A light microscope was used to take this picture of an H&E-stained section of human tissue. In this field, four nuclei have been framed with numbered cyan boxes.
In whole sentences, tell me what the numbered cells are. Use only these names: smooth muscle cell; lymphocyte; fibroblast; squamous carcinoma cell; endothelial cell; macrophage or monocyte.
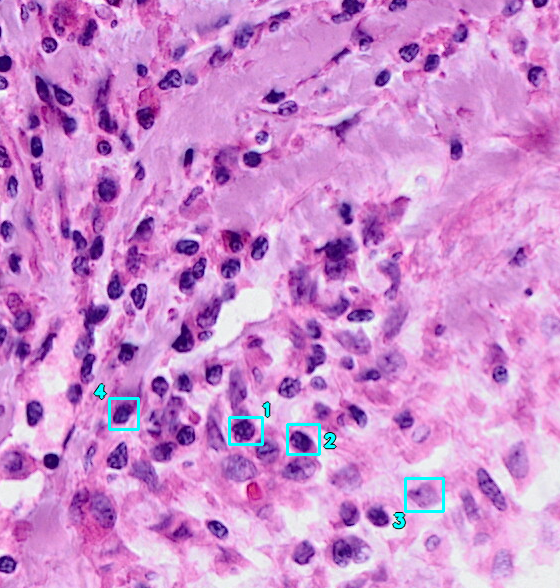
Cells 1, 2 and 4 are lymphocytes. Cell 3 is a fibroblast.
